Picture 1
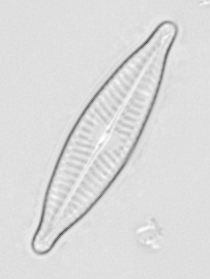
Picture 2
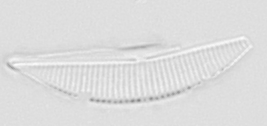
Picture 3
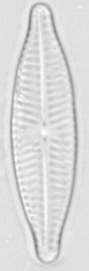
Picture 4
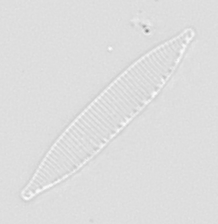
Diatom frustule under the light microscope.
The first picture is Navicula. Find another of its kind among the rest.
Picture 3.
